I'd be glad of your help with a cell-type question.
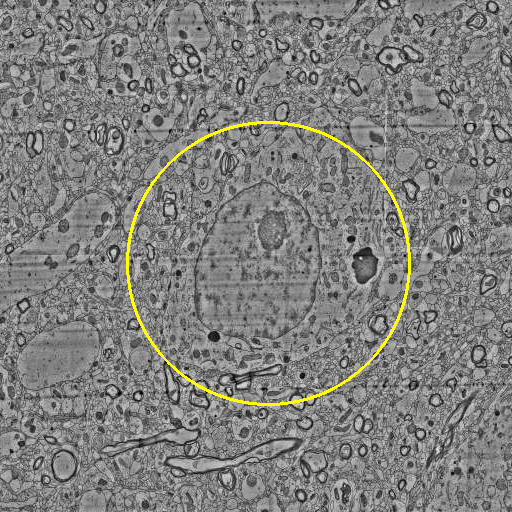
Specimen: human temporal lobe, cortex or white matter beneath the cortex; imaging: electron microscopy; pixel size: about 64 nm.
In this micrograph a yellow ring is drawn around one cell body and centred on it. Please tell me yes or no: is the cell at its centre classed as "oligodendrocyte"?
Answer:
no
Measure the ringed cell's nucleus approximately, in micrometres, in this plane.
In this plane, the nucleus is roughly 11 by 8 micrometres.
